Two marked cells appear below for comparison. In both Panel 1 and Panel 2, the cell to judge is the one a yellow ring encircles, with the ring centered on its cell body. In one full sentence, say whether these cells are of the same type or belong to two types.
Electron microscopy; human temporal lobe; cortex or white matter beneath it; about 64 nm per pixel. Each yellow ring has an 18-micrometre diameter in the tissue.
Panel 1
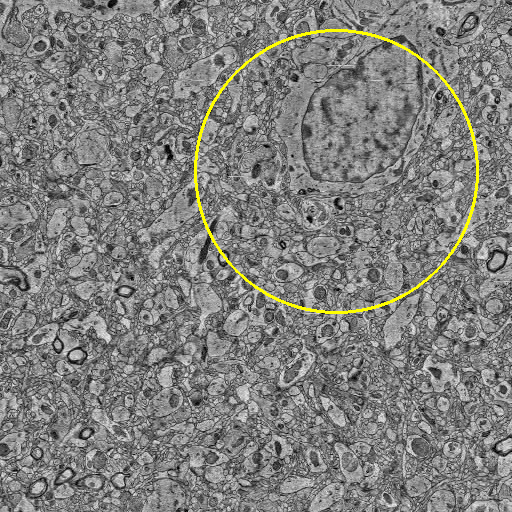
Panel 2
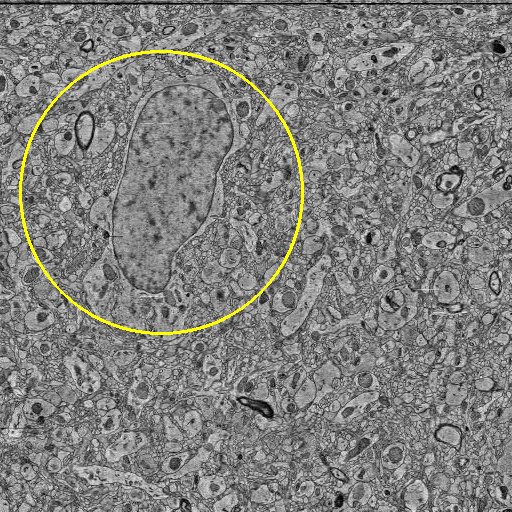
The cell centered in the Panel 1 ring and the one in Panel 2 are of the same type.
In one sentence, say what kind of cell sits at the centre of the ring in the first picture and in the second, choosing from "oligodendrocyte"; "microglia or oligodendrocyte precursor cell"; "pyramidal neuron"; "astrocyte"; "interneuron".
Each of the two pictures has a microglial cell or oligodendrocyte precursor cell at the ring centre.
